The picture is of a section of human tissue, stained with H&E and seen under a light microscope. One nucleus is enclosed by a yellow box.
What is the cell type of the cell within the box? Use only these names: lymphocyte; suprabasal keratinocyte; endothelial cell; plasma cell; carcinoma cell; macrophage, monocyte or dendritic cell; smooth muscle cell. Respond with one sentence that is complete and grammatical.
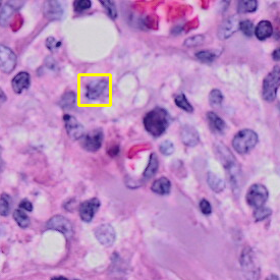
Students should answer that the cell within the box is a macrophage, monocyte or dendritic cell.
